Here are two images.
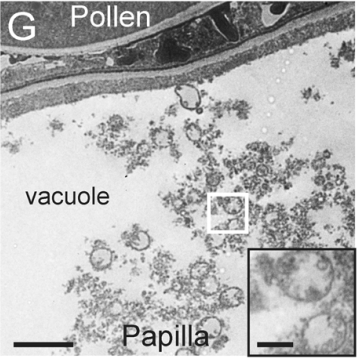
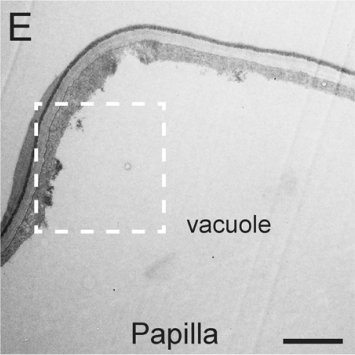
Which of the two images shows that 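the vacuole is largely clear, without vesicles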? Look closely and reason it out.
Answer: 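The second image. First image: many round membrane-bound bodies and granular material fill the vacuole. Second image: the large vacuole is pale and nearly empty.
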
